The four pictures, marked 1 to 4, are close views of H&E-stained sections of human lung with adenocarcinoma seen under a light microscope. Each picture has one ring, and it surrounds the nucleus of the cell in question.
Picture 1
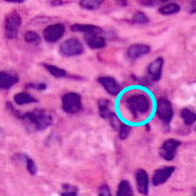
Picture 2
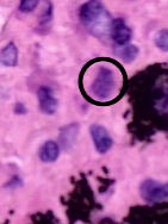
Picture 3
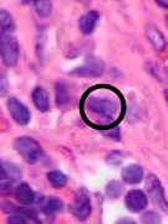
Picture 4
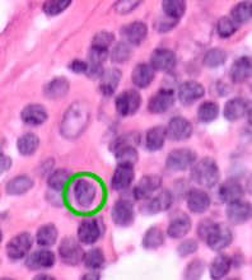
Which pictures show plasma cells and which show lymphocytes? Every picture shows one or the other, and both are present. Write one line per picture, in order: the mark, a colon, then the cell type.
1: plasma cell
2: plasma cell
3: plasma cell
4: lymphocyte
